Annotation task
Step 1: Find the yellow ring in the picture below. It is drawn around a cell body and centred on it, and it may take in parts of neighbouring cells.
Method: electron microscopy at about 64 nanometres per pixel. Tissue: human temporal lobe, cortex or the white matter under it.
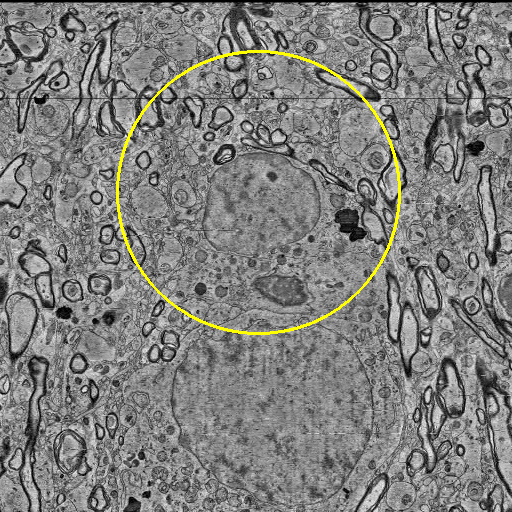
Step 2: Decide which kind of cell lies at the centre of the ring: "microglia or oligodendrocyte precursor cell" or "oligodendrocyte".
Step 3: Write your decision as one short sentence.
The kind of cell at the ring's centre is an oligodendrocyte.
